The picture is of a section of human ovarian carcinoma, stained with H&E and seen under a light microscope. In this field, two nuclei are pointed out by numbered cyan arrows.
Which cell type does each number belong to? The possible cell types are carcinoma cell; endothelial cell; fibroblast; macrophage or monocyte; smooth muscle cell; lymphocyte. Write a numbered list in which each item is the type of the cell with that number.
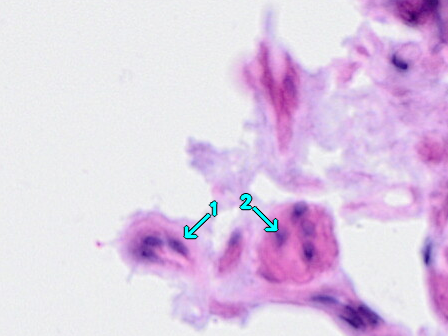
1. endothelial cell
2. smooth muscle cell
